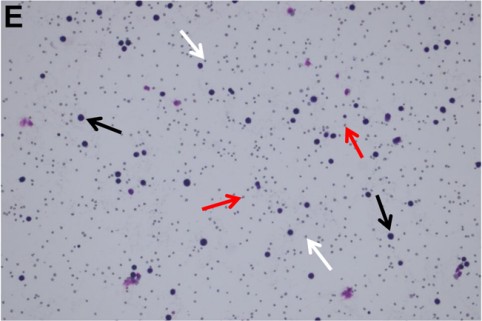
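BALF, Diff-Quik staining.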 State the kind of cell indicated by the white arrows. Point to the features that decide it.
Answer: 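Lymphocytes. The white arrows point to small, round cells. These cells are smaller than the larger dark purple round cells marked by the black arrows.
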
